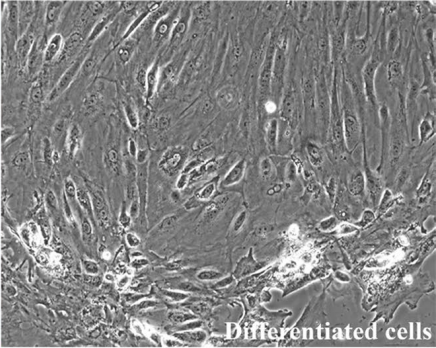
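The cells are mostly elongated or spindle-shaped to irregularly polygonal, with a pale oval nucleus in each and thin cytoplasm that fades toward the cell edges. They lie side by side in loosely aligned groups, some running roughly in parallel. Toward the lower part of the field lie a few small bright, refractile clusters among the cells.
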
